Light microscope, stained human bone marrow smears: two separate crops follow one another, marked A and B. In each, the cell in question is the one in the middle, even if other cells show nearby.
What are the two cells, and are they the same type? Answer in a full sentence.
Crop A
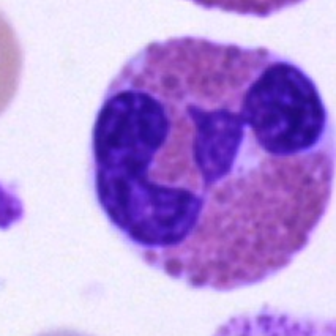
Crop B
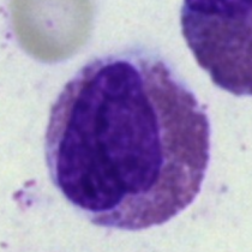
Yes, for both crops, the central cells are eosinophils.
